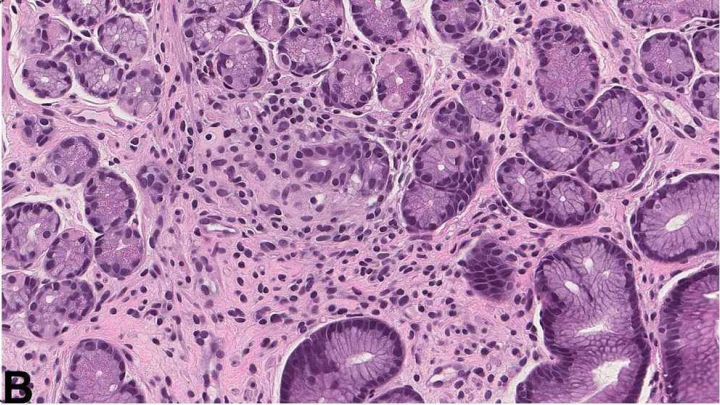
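Gastric mucosa with closely packed glands lined by columnar mucin-containing cells with basal nuclei, shown in purple and pink. At the centre a focus of mixed inflammatory cells with round to oval nuclei fills the stroma between glands and surrounds a small gland. Around it the glands are separated by pink fibrous stroma with fewer cells.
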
